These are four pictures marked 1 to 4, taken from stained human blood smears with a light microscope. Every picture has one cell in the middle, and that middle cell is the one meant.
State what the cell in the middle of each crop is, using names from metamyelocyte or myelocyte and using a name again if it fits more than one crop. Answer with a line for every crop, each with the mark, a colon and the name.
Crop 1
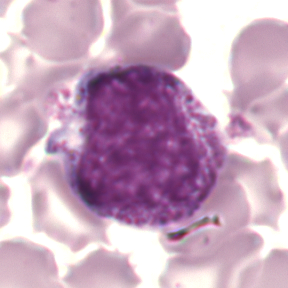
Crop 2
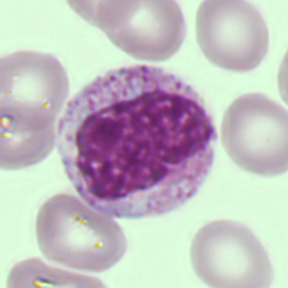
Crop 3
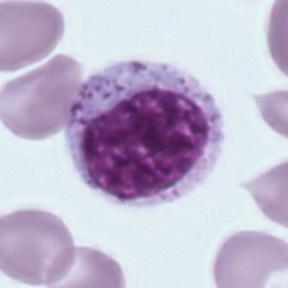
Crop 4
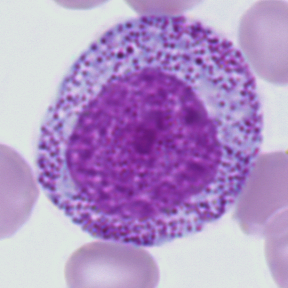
1: myelocyte
2: metamyelocyte
3: metamyelocyte
4: myelocyte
